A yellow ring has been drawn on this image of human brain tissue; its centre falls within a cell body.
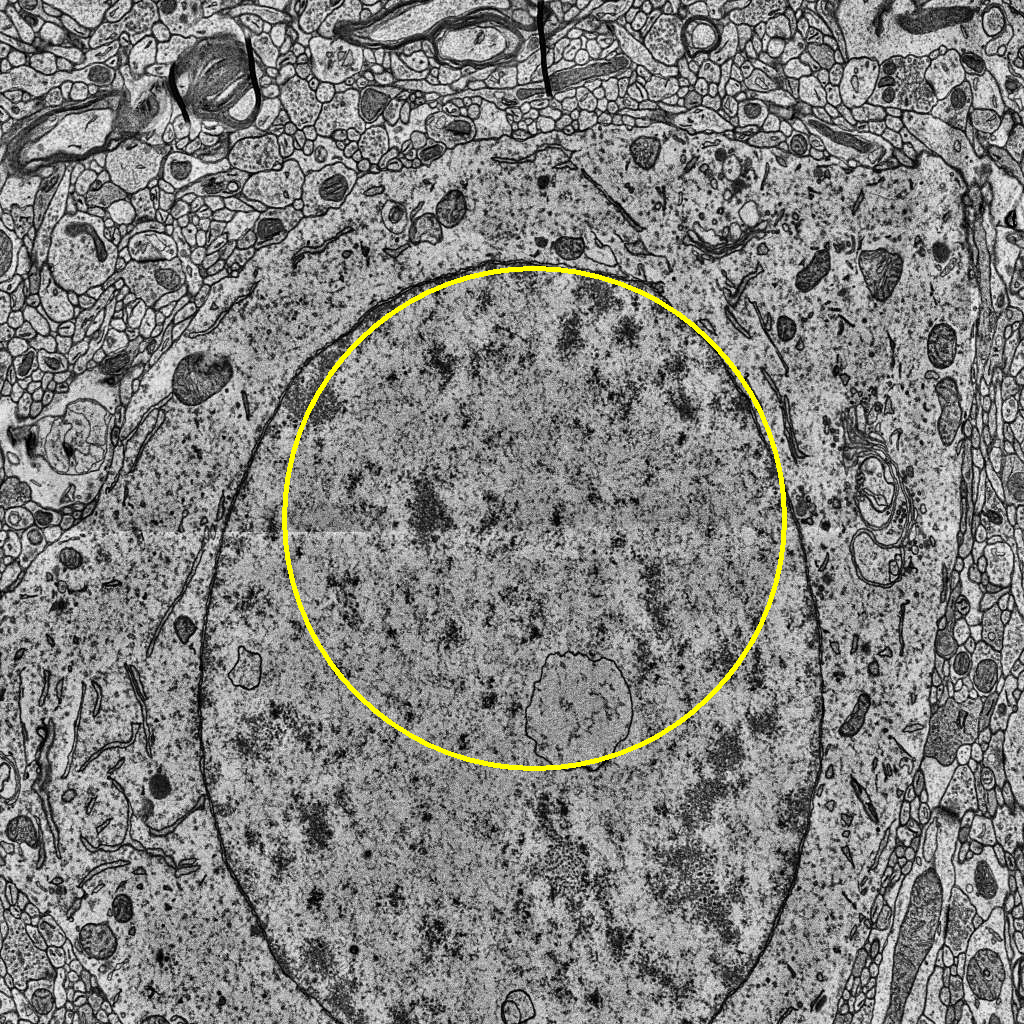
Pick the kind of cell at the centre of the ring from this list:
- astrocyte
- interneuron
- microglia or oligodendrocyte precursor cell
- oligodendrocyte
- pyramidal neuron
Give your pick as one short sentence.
The centre of the ring holds a pyramidal neuron.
